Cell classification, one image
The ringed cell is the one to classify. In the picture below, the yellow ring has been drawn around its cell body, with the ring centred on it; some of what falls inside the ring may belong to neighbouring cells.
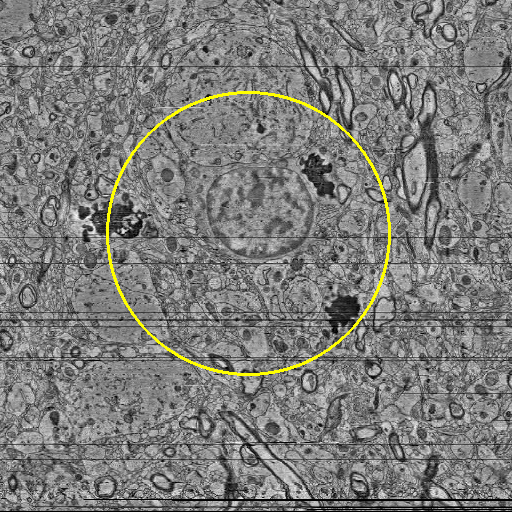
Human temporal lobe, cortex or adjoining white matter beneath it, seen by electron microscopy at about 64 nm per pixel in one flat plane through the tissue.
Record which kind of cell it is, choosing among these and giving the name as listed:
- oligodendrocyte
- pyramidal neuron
oligodendrocyte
